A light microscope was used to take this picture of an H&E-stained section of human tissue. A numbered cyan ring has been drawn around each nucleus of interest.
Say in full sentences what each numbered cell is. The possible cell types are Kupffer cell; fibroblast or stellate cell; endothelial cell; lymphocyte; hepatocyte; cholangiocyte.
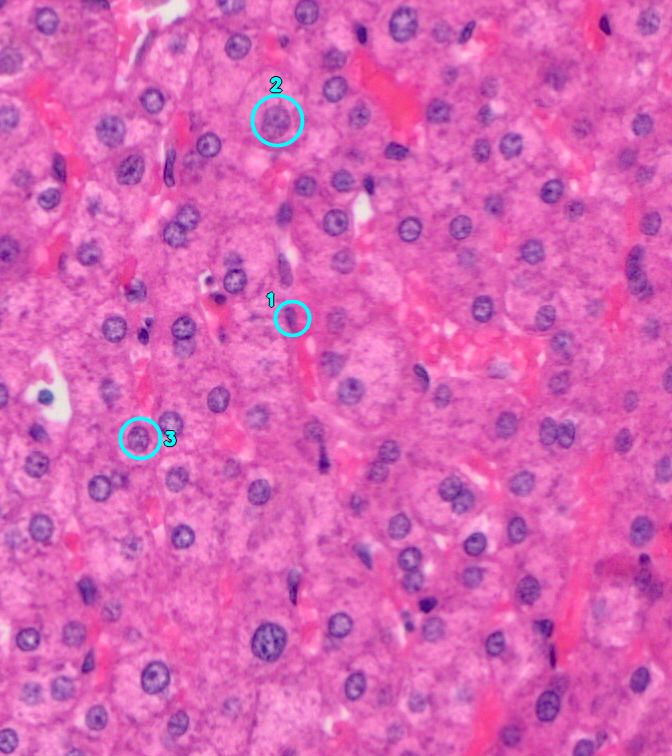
Cell 1 is a fibroblast or stellate cell, cell 2 is a hepatocyte and cell 3 is a hepatocyte.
